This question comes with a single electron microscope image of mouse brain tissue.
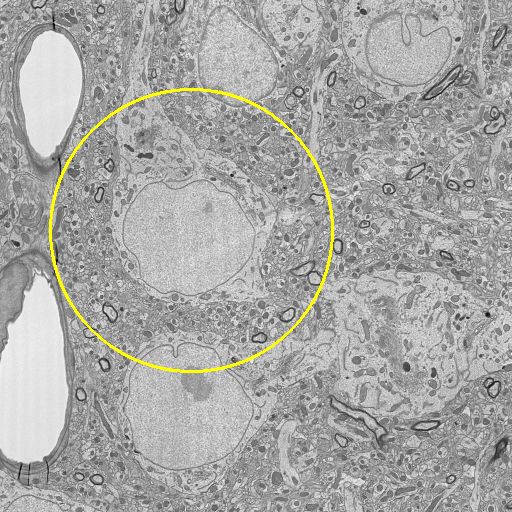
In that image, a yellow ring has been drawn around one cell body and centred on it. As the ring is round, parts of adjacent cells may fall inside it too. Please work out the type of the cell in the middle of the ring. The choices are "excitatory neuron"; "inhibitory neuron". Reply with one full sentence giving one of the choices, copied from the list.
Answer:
Of the choices, an excitatory neuron is the cell sitting in the middle of the ring.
